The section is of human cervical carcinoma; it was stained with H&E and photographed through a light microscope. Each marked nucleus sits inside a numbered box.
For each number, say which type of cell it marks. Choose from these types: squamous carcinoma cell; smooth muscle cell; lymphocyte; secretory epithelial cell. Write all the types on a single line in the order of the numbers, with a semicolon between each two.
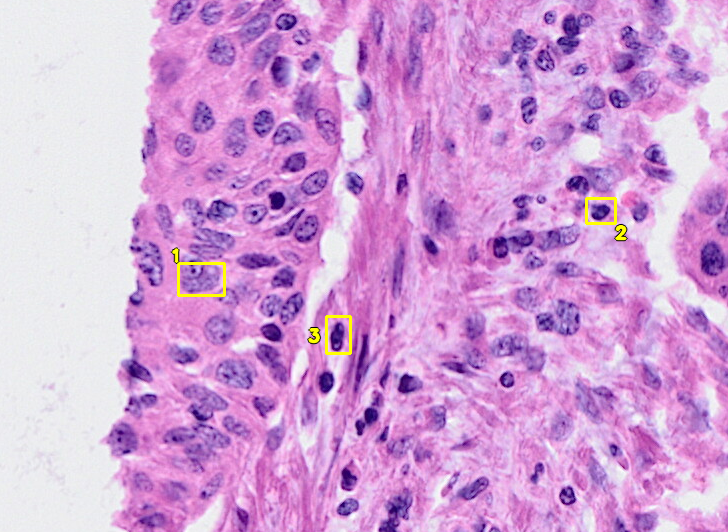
squamous carcinoma cell; lymphocyte; lymphocyte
